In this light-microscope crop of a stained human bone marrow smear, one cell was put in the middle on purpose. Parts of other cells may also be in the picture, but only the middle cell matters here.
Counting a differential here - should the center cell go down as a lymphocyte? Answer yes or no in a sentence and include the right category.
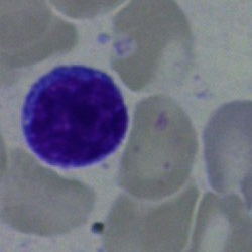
Yes, the cell under consideration, the one in the middle, is a lymphocyte.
